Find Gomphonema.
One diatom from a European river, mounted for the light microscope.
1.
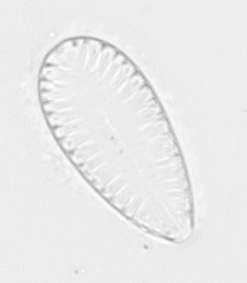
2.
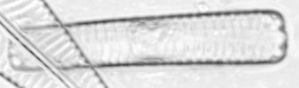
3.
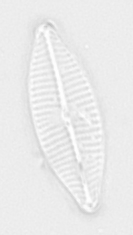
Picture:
2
